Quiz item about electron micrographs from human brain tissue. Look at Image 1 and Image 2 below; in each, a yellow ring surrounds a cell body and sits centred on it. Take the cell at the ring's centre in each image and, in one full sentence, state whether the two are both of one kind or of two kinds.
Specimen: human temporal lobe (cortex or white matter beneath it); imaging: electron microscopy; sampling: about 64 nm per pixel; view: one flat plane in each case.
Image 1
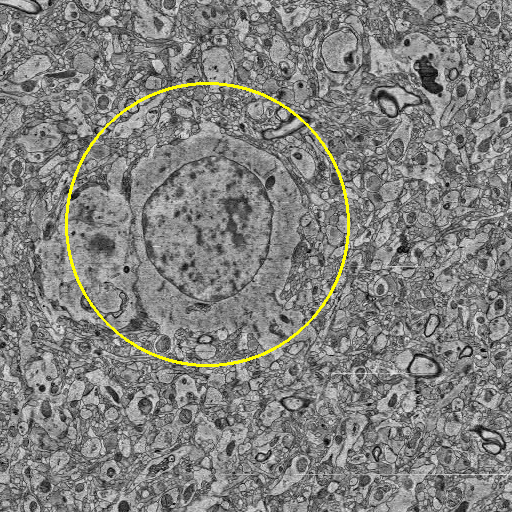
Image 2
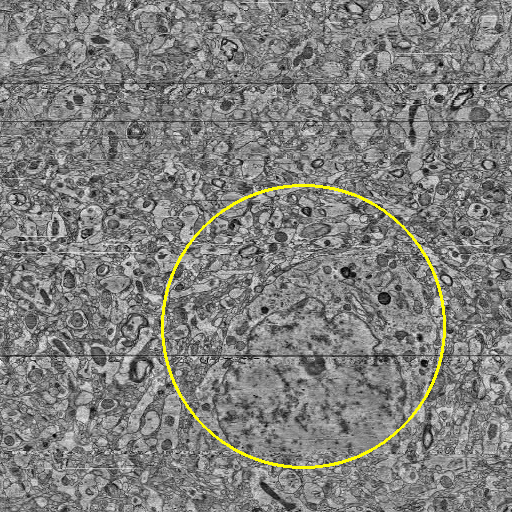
In Image 1 and Image 2, the cells at the ring centres are of two kinds.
